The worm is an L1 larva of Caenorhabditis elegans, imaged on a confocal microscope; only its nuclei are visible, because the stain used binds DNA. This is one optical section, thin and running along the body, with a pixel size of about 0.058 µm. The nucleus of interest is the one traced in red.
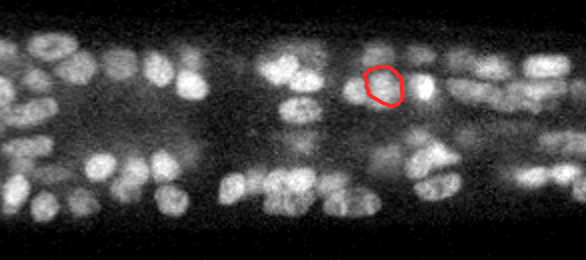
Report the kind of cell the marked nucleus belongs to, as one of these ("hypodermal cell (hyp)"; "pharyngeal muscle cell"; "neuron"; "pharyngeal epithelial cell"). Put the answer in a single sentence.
This is the nucleus of a neuron.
